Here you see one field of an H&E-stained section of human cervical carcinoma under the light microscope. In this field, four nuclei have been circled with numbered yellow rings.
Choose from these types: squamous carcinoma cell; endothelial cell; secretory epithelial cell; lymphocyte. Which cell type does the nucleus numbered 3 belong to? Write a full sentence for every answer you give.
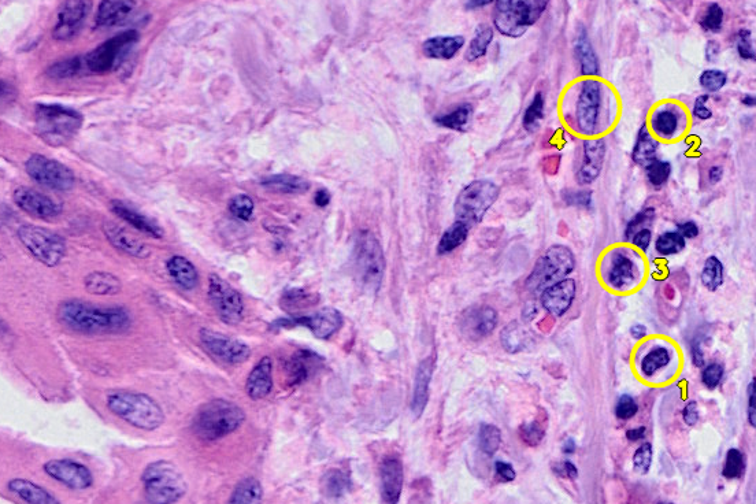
Heads up, the cell numbered 3 is a lymphocyte.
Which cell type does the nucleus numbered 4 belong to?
The cell with the number 4 is an endothelial cell.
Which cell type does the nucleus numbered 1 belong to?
To a lymphocyte belongs the nucleus marked 1.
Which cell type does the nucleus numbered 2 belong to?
The marked cell with the number 2 is recognised as a lymphocyte.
